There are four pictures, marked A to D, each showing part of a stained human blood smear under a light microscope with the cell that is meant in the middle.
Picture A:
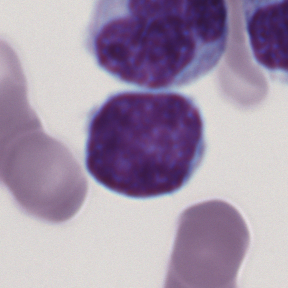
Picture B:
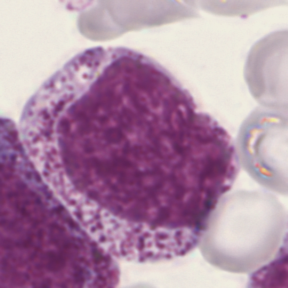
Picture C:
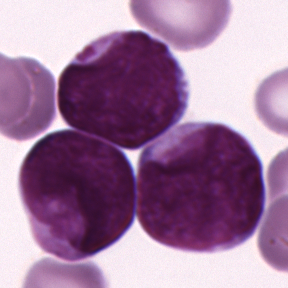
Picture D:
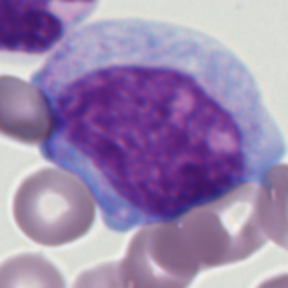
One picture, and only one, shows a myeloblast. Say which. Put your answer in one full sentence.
Picture C shows the myeloblast.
